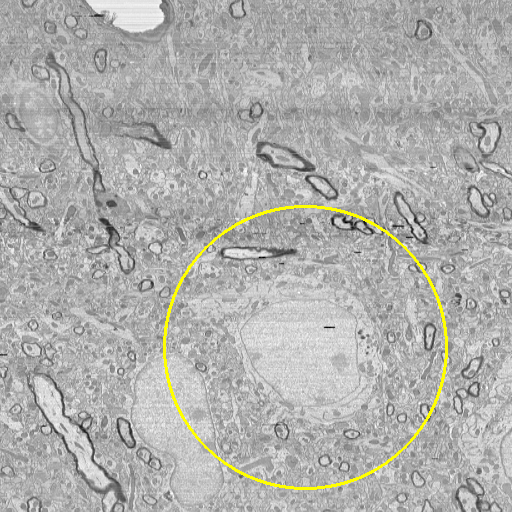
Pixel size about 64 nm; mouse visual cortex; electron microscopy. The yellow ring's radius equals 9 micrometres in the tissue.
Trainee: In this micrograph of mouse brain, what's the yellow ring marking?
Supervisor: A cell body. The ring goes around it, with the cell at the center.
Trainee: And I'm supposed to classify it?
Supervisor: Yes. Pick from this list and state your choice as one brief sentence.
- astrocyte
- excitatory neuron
The cell at the ring's center is an excitatory neuron.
